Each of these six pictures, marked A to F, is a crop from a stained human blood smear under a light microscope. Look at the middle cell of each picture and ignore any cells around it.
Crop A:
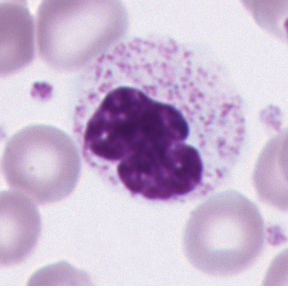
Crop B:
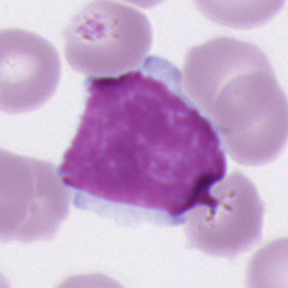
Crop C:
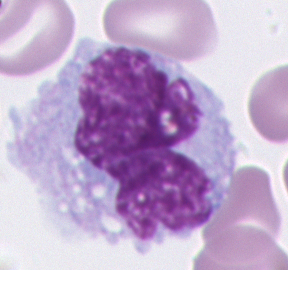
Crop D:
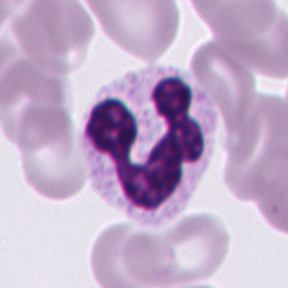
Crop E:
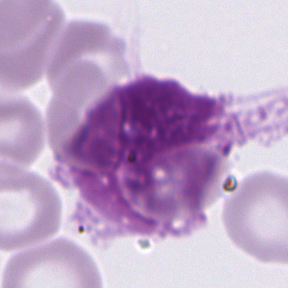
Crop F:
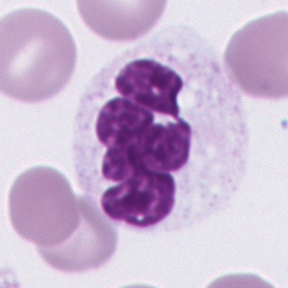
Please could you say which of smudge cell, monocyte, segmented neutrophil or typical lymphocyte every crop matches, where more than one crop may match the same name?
A: segmented neutrophil
B: typical lymphocyte
C: monocyte
D: segmented neutrophil
E: smudge cell
F: segmented neutrophil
